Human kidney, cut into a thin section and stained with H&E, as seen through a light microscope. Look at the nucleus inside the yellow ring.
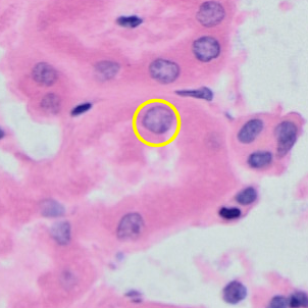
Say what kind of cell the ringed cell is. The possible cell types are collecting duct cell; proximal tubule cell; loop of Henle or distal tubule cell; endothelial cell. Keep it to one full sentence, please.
In the tissue at hand, the ringed cell is a proximal tubule cell.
